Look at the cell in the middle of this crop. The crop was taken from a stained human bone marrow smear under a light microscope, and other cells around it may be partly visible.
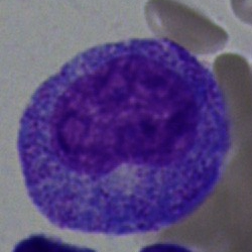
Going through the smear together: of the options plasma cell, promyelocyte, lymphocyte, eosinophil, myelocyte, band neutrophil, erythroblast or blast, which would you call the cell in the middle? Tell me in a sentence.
The cell at the central position in this crop is a promyelocyte.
